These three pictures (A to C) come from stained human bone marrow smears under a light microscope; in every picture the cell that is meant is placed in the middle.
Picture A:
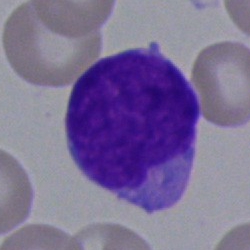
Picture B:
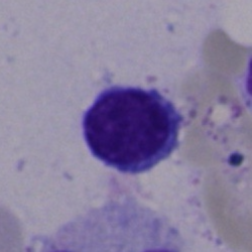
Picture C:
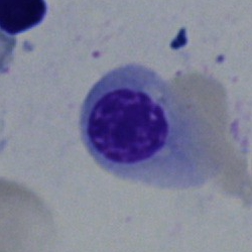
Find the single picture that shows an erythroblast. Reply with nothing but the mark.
C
